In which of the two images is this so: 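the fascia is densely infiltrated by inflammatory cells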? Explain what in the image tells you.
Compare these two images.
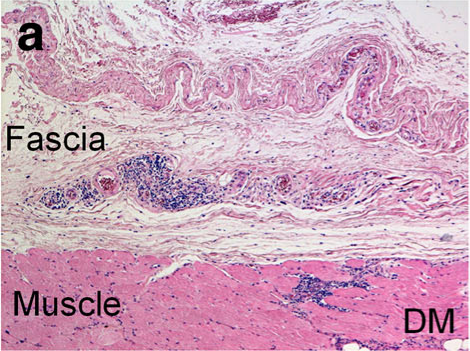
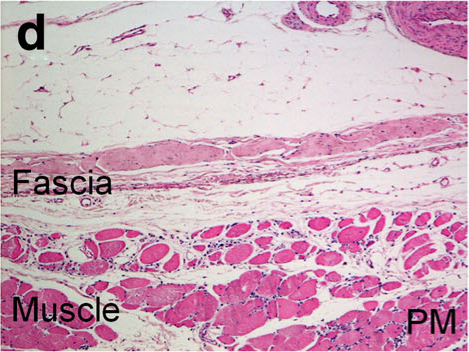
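Second image: the fascia is a thin band of pink fibres with few nuclei beside fat and muscle. First image: the fascia holds dense clusters of dark blue nuclei around small vessels. That points to this answer: the first image.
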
